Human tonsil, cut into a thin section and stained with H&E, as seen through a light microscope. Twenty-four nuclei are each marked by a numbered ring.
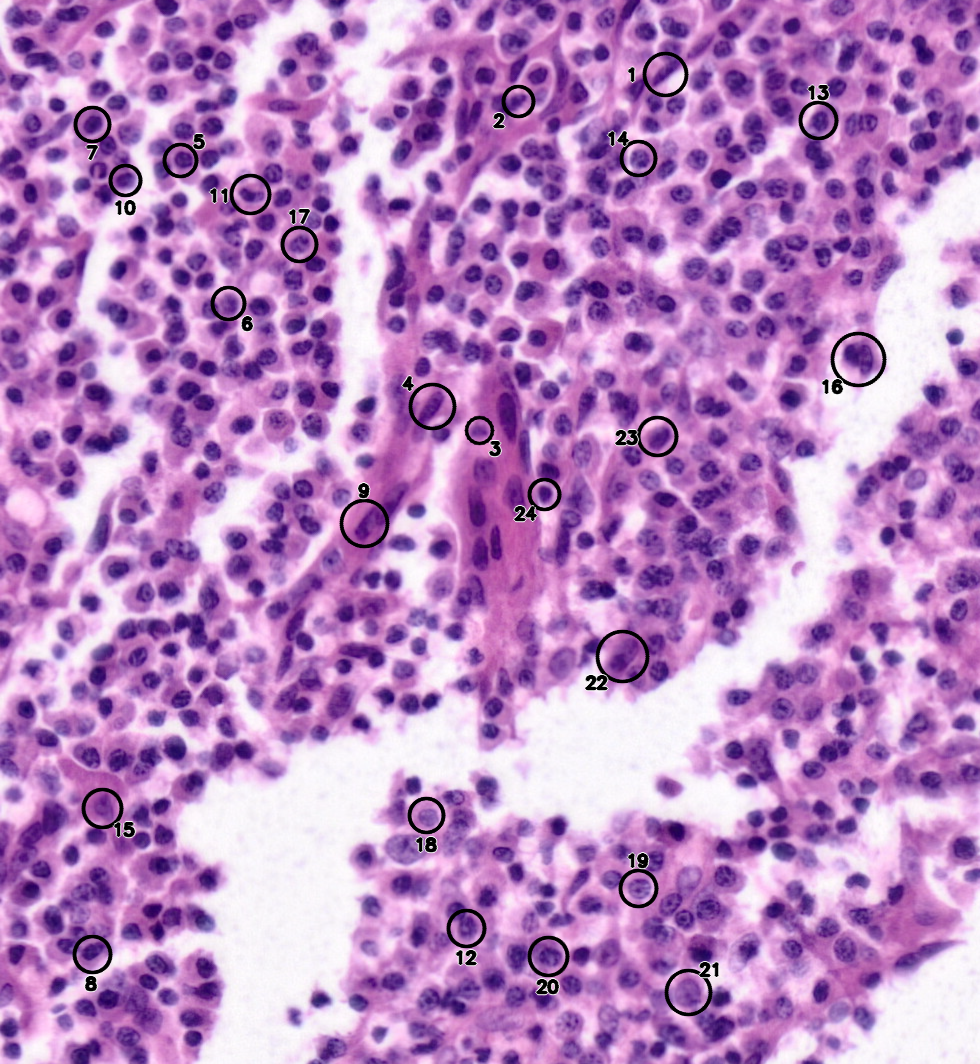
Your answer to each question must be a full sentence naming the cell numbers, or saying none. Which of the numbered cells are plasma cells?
The cells to which the numbers 5, 6, 7, 8, 10, 11, 12, 13, 14, 17, 18, 19 and 20 refer are plasma cells.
